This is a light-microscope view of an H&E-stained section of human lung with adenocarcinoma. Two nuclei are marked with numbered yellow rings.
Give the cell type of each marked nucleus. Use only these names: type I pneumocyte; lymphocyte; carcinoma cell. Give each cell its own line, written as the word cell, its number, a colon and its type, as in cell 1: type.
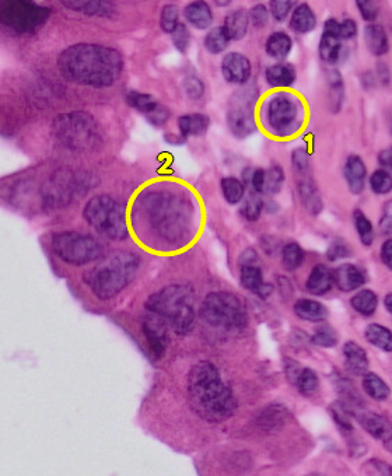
cell 1: lymphocyte
cell 2: carcinoma cell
